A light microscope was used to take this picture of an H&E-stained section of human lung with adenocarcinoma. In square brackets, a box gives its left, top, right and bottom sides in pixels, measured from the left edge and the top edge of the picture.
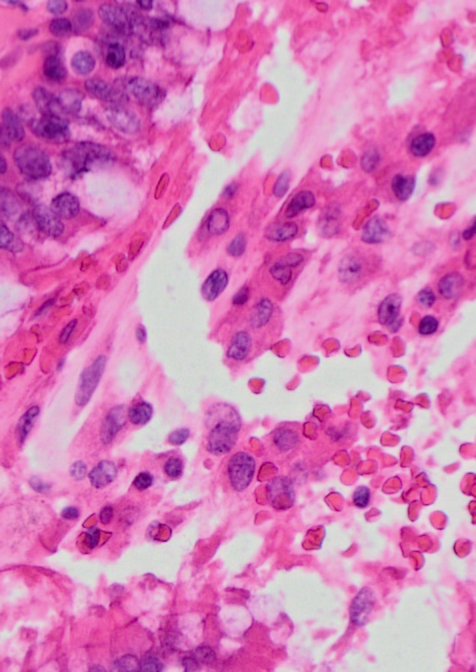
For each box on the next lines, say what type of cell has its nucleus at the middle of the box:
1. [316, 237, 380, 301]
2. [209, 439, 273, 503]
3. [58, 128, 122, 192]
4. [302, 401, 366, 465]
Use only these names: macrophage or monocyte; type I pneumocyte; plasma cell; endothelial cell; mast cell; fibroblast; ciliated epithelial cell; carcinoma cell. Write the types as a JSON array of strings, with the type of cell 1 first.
["macrophage or monocyte", "macrophage or monocyte", "ciliated epithelial cell", "macrophage or monocyte"]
